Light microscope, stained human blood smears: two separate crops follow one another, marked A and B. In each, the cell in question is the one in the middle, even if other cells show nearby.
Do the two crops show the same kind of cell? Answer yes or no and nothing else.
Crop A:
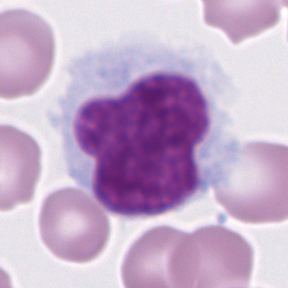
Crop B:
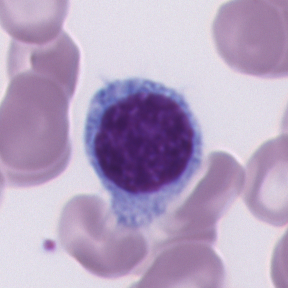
no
